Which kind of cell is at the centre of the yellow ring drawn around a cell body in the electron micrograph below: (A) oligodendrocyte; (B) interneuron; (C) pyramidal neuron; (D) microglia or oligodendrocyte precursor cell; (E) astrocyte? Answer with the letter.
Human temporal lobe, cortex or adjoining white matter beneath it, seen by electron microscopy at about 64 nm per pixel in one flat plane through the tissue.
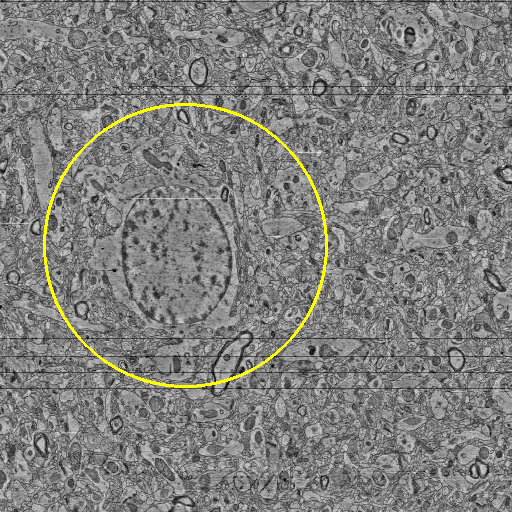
E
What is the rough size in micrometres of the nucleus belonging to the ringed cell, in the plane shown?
The nucleus measures about 9 by 7 micrometres in this plane.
